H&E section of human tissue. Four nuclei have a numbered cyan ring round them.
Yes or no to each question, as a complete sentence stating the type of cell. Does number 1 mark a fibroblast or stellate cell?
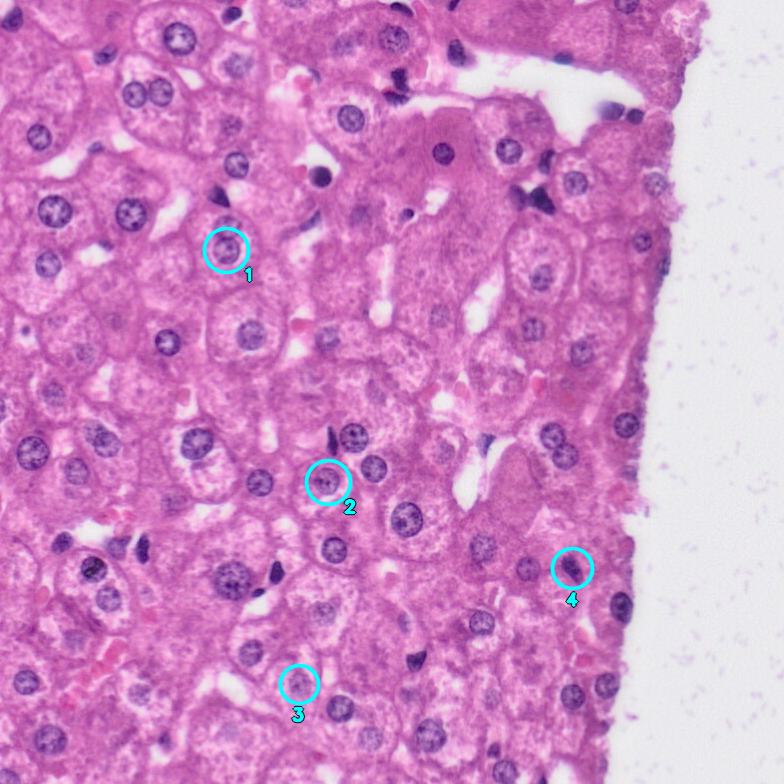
No, the cell under number 1 is a hepatocyte, not a fibroblast or stellate cell.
